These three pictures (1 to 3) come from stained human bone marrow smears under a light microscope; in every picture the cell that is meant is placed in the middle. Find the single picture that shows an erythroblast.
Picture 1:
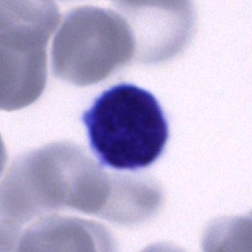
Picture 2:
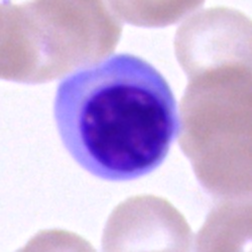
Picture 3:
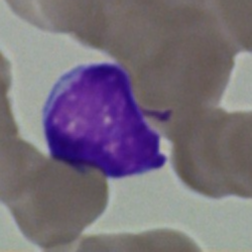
2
